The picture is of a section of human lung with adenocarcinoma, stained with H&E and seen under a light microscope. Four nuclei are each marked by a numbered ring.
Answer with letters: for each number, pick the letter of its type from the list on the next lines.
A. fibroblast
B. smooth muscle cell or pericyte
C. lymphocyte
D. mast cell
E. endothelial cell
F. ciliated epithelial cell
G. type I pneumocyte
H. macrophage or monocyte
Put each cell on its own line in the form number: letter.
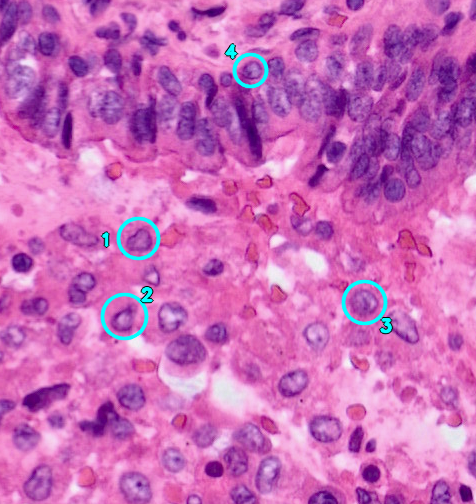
1: H
2: H
3: H
4: F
